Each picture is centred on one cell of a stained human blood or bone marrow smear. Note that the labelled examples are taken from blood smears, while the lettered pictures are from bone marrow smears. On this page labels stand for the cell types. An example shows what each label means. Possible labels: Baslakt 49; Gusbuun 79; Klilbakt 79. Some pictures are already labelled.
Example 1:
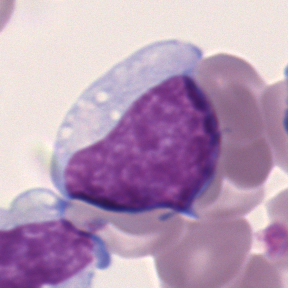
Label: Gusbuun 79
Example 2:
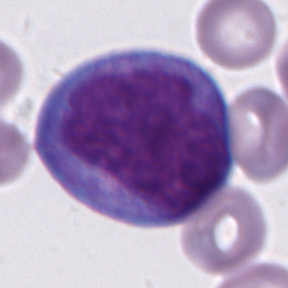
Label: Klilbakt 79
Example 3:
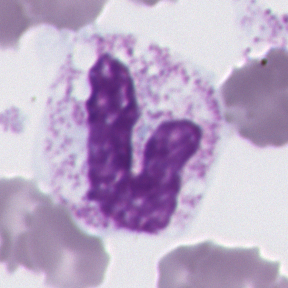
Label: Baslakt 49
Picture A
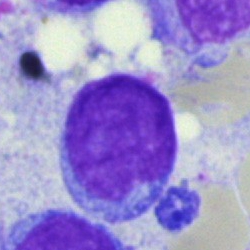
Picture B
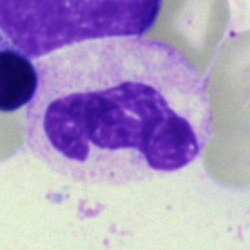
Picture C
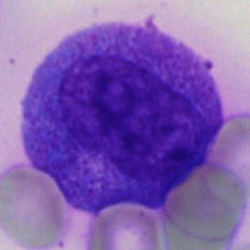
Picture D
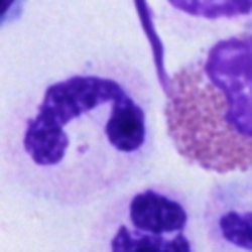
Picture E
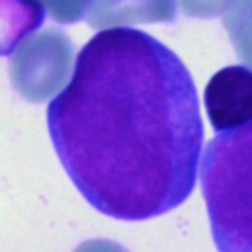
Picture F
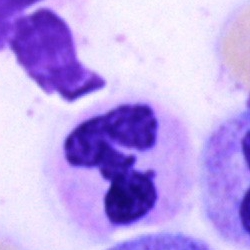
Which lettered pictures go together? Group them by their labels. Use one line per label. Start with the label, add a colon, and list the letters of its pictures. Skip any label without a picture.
Baslakt 49: B, D, F
Gusbuun 79: A, E
Klilbakt 79: C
